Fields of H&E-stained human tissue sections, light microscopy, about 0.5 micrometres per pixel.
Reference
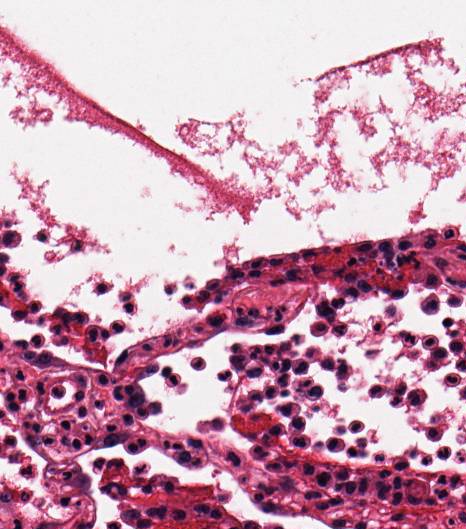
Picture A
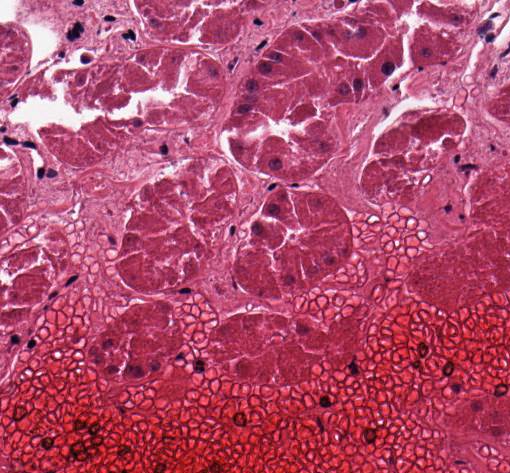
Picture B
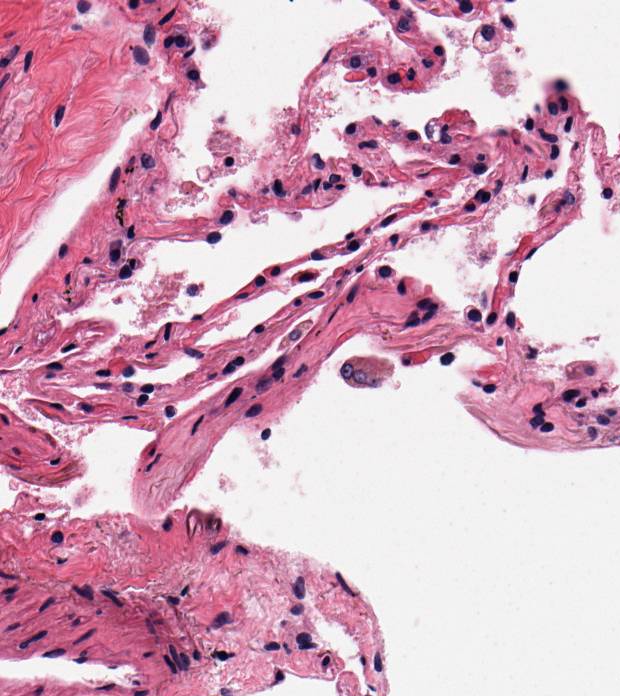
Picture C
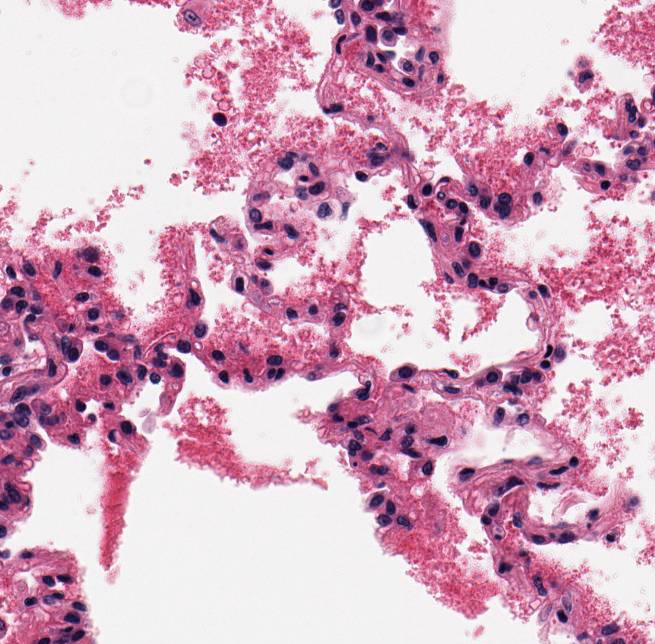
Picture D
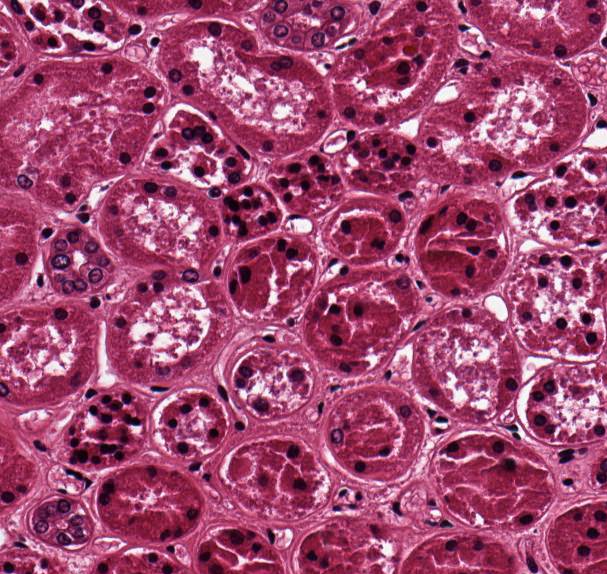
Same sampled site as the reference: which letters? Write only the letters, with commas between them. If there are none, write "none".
B, C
